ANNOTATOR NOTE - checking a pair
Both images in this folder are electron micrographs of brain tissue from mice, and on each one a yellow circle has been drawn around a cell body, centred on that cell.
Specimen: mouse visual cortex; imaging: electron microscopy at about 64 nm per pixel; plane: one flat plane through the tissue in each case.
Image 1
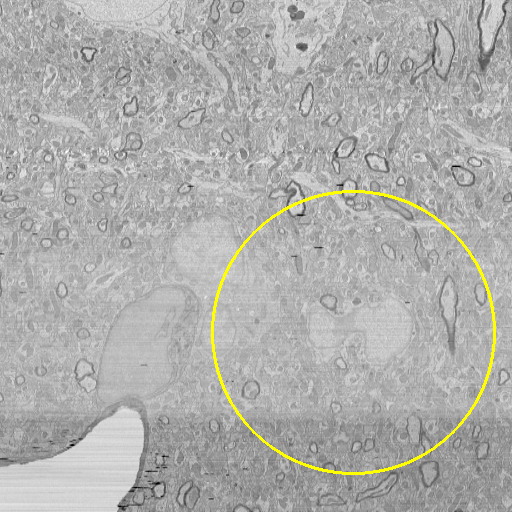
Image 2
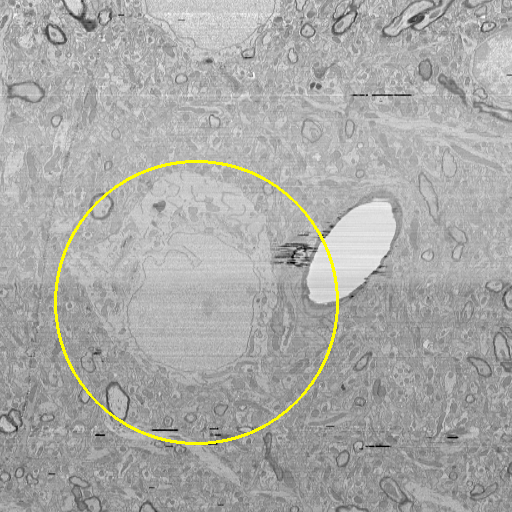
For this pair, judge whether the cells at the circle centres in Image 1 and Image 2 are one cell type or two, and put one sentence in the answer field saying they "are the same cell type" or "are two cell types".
For this pair, the cells at the circle centres in Images 1 and 2 are two cell types.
